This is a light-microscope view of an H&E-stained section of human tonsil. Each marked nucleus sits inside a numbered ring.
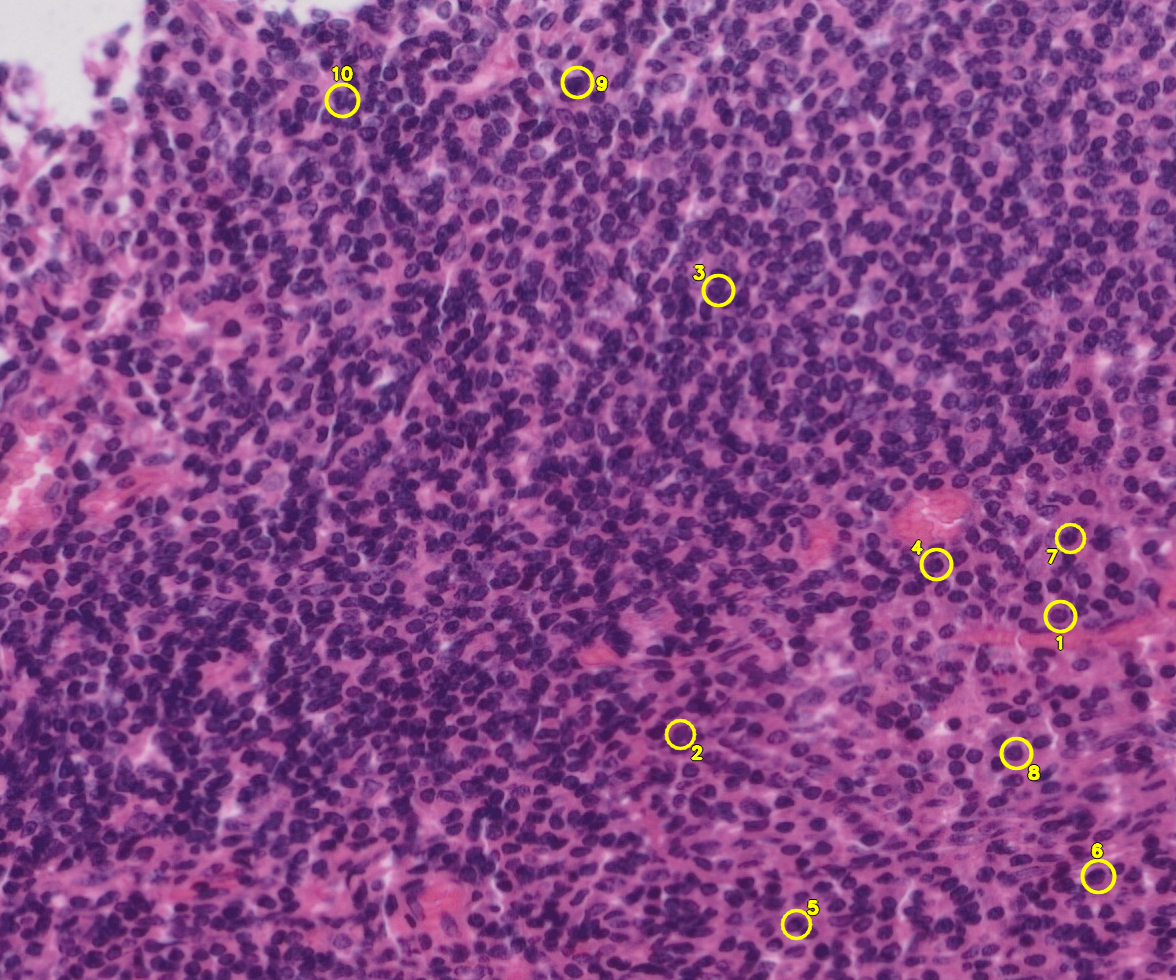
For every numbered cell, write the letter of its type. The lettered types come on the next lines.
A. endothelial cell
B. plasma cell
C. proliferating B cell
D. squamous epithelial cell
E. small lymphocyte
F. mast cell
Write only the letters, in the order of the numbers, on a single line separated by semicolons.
B; D; E; B; B; B; B; B; E; E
